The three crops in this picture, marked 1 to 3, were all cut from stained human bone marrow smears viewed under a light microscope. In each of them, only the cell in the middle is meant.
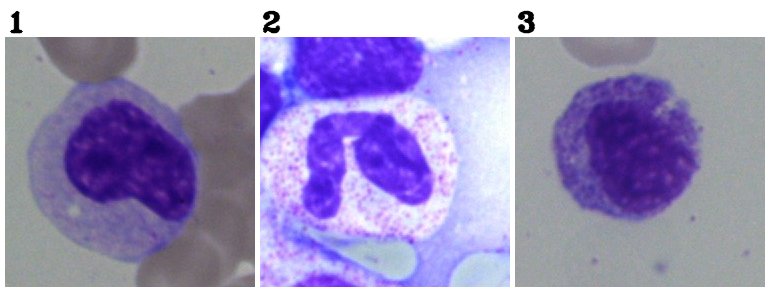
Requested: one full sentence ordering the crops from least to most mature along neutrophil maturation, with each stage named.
In sequence of increasing maturity, the order is crop 3 (a myelocyte), crop 1 (a metamyelocyte) and crop 2 (a segmented neutrophil).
